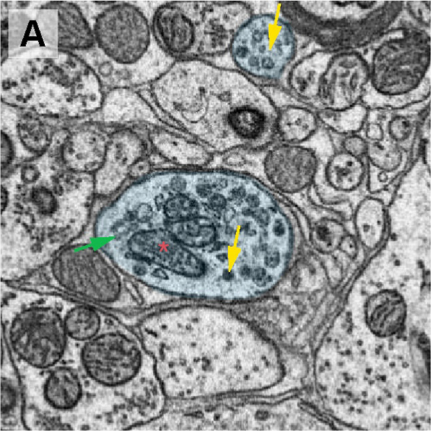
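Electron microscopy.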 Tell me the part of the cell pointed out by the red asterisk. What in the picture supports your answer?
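The asterisk lies on membrane-bound organelles with internal cristae inside the blue-shaded profile.
Answer: mitochondria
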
